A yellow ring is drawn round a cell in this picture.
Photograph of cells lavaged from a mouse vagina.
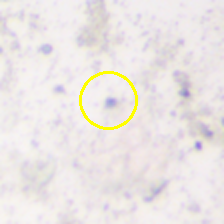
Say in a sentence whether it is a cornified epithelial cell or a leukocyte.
The cell in the ring is a leukocyte.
